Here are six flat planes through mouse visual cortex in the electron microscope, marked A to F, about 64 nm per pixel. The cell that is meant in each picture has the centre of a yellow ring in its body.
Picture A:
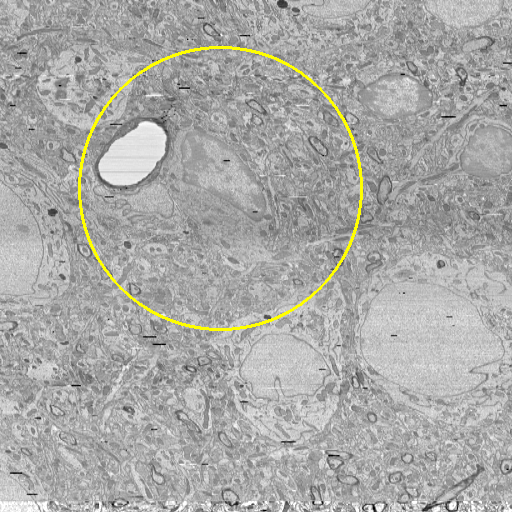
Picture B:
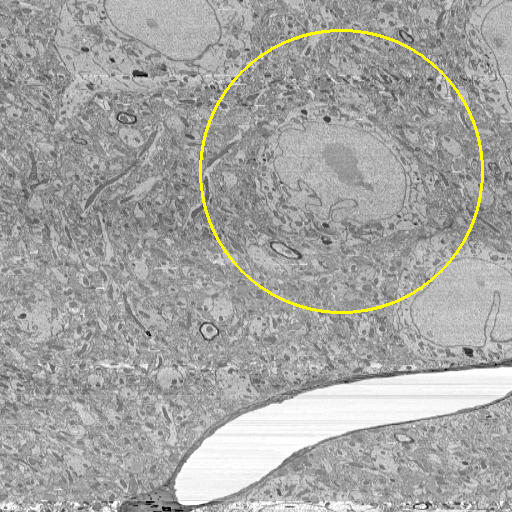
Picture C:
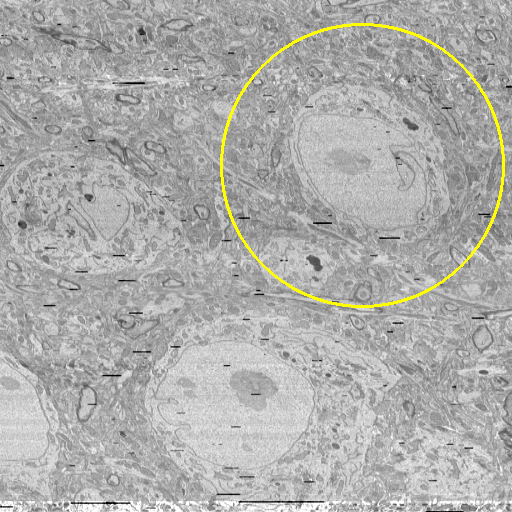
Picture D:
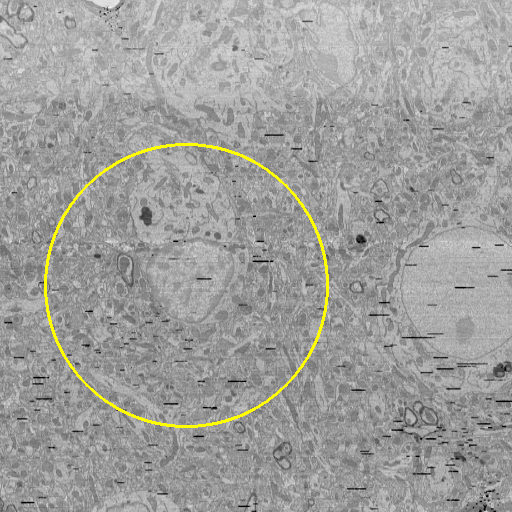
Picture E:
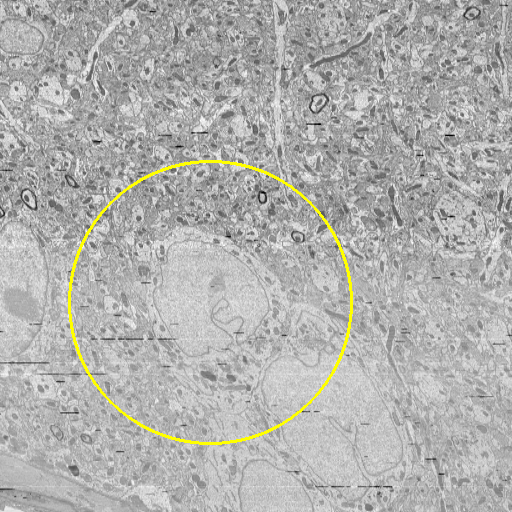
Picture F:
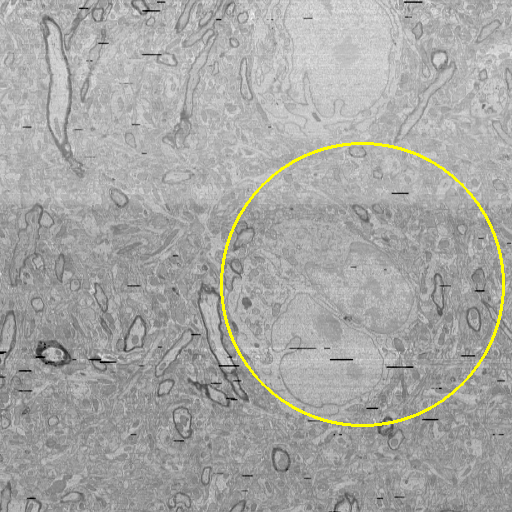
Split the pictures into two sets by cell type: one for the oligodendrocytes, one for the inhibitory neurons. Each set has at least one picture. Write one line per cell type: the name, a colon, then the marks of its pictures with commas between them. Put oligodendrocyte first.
oligodendrocyte: A, D, F
inhibitory neuron: B, C, E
